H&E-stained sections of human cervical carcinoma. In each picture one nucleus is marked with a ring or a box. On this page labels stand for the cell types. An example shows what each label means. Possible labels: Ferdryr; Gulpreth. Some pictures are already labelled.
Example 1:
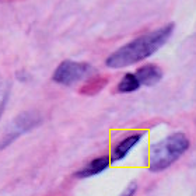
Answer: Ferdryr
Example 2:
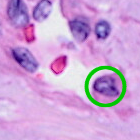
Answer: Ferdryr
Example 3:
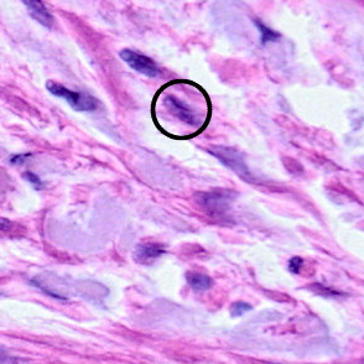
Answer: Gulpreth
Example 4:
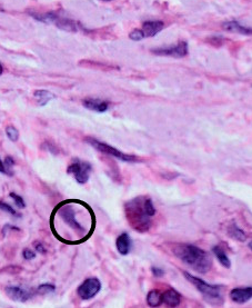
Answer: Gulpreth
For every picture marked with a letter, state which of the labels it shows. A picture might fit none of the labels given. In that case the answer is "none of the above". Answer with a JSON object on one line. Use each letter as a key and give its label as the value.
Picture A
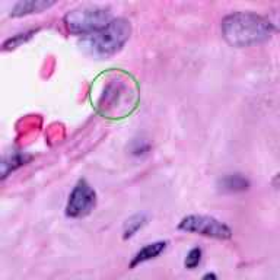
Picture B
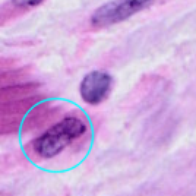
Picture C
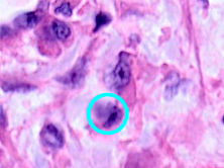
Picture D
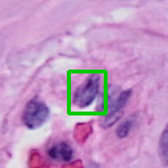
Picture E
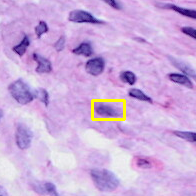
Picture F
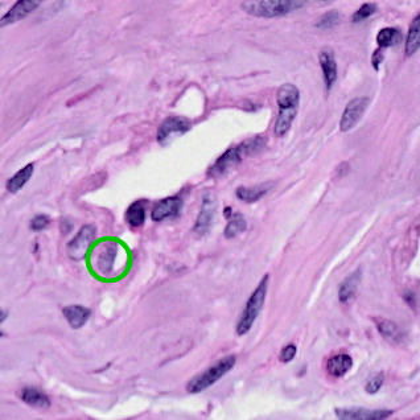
{"A": "Ferdryr", "B": "none of the above", "C": "none of the above", "D": "Ferdryr", "E": "Gulpreth", "F": "Ferdryr"}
